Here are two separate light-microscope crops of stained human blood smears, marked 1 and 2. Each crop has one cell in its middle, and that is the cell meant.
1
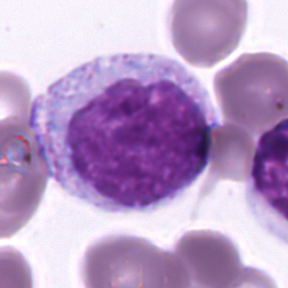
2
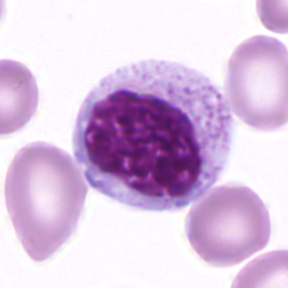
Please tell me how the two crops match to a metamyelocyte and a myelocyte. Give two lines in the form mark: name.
1: myelocyte
2: metamyelocyte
